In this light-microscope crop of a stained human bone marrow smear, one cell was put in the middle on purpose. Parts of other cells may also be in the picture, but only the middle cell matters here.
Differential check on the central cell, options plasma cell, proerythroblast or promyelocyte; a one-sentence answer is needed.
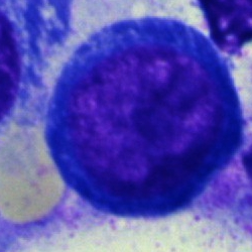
The cell centred in this crop is categorized as a proerythroblast.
